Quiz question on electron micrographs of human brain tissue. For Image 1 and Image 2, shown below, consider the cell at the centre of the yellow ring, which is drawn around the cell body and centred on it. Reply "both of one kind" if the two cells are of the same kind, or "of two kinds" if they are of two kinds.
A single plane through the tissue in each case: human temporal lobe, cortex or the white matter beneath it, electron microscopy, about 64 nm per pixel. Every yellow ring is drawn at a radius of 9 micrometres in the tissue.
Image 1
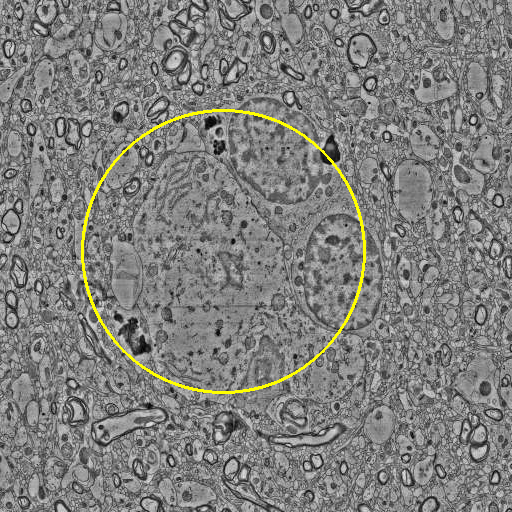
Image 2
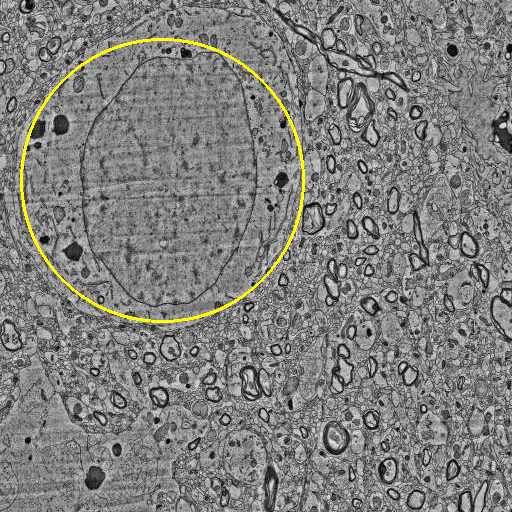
both of one kind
